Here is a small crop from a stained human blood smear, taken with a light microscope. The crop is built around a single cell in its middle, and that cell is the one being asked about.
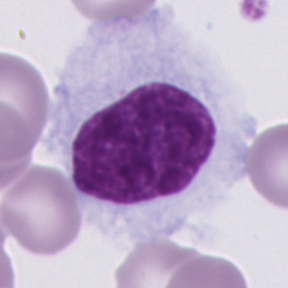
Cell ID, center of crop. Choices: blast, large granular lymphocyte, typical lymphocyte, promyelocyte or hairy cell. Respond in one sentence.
The cell around which this crop is centred is a hairy cell.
